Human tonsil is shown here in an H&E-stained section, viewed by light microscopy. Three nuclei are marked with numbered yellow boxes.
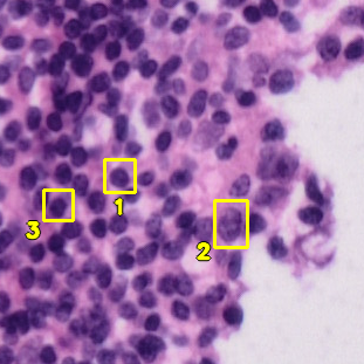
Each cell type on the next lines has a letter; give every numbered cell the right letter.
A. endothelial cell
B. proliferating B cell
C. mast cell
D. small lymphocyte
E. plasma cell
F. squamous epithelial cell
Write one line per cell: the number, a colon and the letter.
1: D
2: B
3: D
